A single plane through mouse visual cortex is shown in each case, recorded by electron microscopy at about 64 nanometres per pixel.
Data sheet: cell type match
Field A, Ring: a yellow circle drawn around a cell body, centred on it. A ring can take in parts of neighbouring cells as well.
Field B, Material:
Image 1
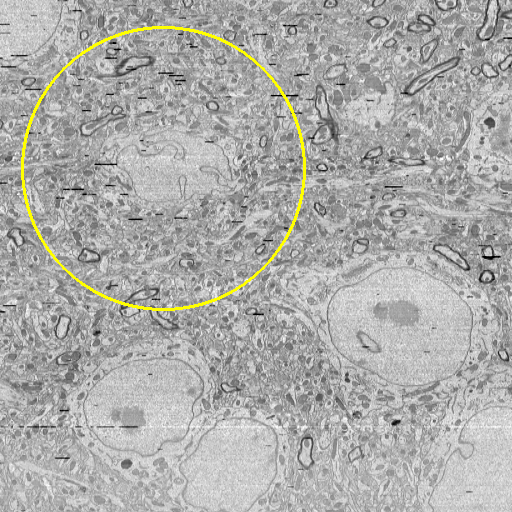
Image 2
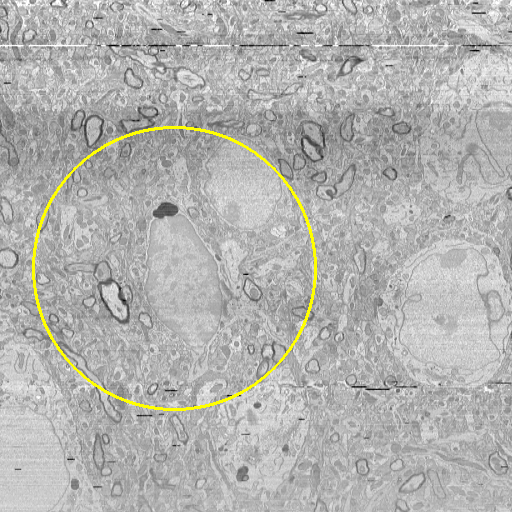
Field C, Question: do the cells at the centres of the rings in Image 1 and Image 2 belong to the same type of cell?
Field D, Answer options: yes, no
no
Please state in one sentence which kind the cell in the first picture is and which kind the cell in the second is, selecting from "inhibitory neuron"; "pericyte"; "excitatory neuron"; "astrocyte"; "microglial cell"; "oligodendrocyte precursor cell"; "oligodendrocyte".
The first ringed cell is an inhibitory neuron, the second ringed cell a microglial cell.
